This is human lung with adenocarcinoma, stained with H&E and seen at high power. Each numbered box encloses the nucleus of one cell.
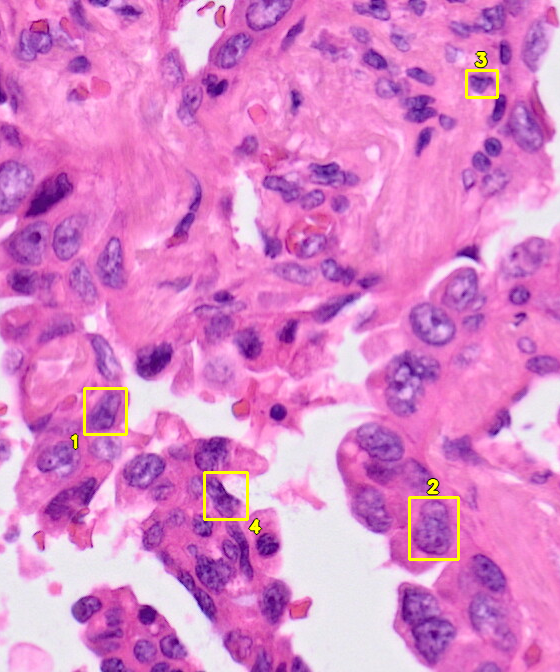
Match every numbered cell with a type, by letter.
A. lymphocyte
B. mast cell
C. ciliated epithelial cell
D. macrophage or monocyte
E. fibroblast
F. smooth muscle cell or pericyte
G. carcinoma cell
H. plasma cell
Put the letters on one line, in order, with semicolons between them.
G; G; A; G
